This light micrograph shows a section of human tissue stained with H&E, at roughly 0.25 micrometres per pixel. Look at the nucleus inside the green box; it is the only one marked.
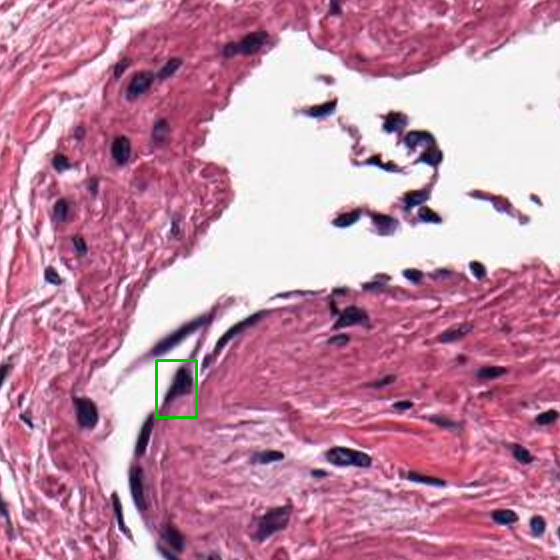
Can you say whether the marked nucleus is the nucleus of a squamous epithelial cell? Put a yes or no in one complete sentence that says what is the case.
No, that the marked nucleus belongs to a squamous epithelial cell does not hold; it belongs to a supporting cell.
